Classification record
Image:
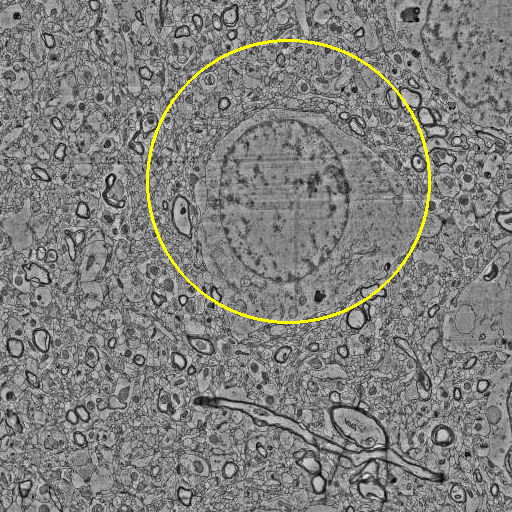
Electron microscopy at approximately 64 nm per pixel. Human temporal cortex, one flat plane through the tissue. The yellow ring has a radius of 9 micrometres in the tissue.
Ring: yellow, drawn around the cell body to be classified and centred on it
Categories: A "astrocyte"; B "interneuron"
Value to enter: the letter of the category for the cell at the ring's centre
B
